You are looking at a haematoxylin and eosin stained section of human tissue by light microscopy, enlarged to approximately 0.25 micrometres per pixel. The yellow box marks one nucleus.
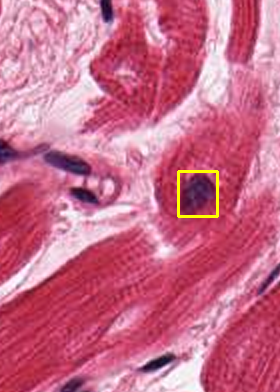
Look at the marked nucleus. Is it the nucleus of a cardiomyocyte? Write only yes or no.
yes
